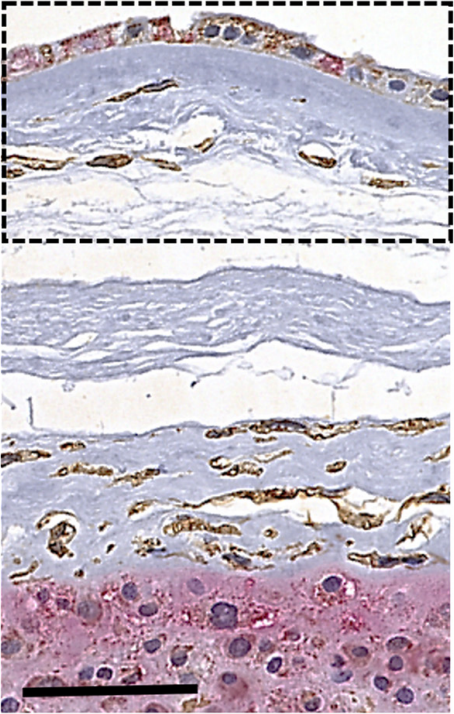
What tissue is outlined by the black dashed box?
Amnion membrane.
